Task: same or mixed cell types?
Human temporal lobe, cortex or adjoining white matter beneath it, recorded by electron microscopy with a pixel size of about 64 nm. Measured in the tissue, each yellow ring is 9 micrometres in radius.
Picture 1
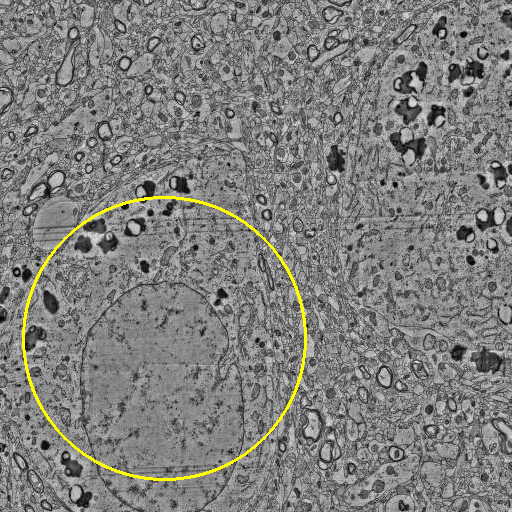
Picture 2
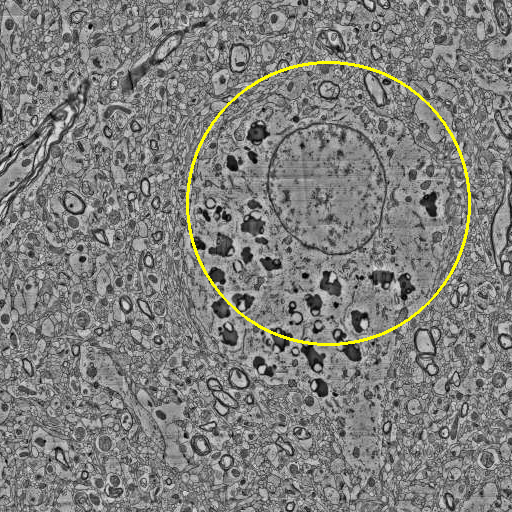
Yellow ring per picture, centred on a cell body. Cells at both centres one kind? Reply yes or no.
yes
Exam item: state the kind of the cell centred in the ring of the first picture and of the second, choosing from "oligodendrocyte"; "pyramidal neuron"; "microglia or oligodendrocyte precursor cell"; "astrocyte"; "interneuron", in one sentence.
Each cell, in the first picture and the second, is a pyramidal neuron.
